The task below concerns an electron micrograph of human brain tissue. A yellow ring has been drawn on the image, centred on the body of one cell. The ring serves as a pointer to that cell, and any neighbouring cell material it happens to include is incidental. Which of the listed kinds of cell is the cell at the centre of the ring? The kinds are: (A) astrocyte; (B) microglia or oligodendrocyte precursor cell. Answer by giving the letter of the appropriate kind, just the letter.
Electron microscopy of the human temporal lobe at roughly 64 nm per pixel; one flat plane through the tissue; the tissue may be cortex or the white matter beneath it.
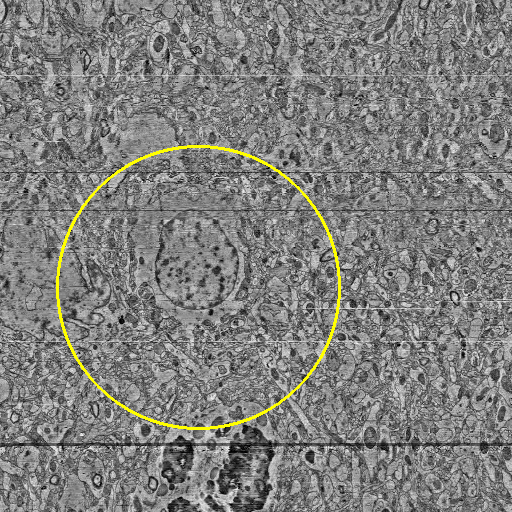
A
